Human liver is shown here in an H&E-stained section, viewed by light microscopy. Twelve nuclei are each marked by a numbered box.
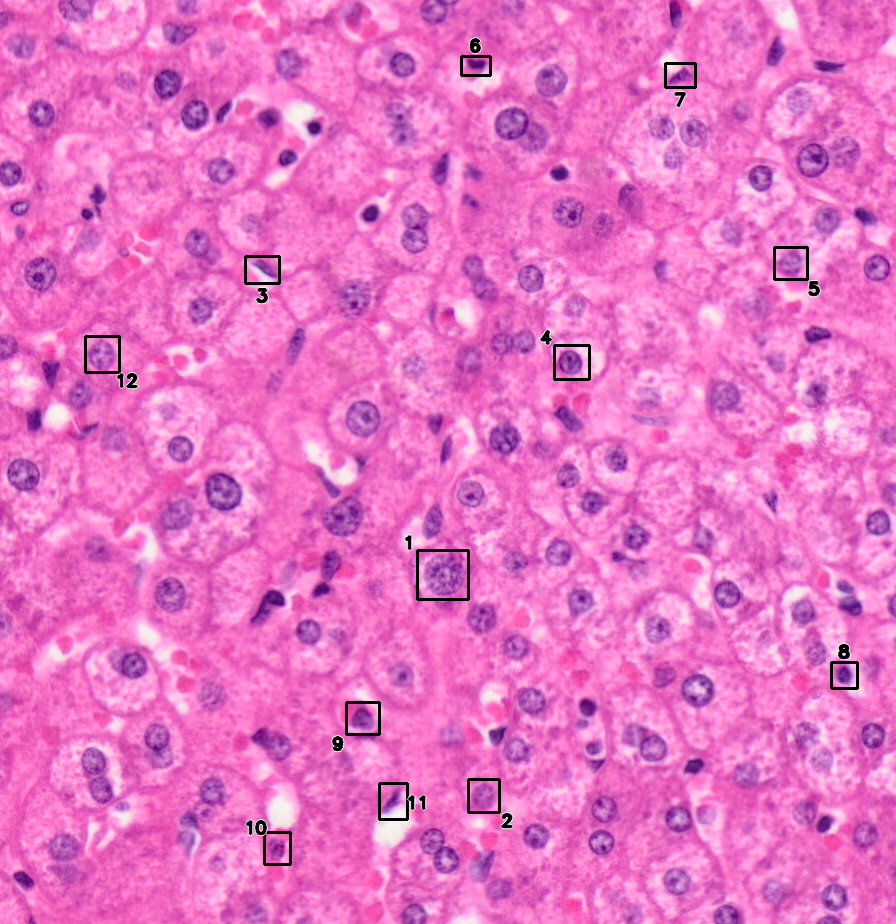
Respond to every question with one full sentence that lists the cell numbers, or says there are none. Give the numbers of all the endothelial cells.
Cells numbered 3, 6, 7, 10 and 11 belong to the group of endothelial cells.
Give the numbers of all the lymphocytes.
As for the numbered cells, only cell 8 is a lymphocyte.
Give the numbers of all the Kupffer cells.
Only cell 9 is a Kupffer cell; none of the other numbered cells is.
